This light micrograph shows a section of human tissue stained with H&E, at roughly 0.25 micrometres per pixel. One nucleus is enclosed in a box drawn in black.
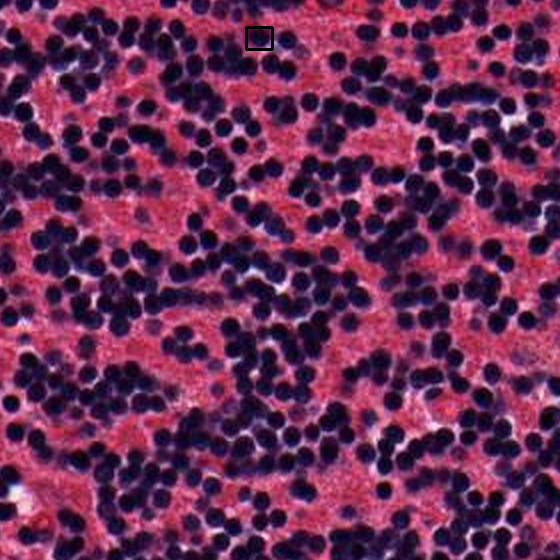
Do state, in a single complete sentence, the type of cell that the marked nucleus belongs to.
What is marked is the nucleus of a cerebellar granule cell.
